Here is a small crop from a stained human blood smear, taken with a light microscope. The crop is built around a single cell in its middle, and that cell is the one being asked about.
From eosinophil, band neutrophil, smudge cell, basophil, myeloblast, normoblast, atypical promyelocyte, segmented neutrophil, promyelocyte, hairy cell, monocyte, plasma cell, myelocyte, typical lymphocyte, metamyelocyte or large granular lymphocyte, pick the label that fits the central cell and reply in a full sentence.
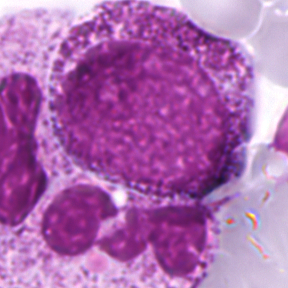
The cell occupying the middle of the crop is a promyelocyte.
